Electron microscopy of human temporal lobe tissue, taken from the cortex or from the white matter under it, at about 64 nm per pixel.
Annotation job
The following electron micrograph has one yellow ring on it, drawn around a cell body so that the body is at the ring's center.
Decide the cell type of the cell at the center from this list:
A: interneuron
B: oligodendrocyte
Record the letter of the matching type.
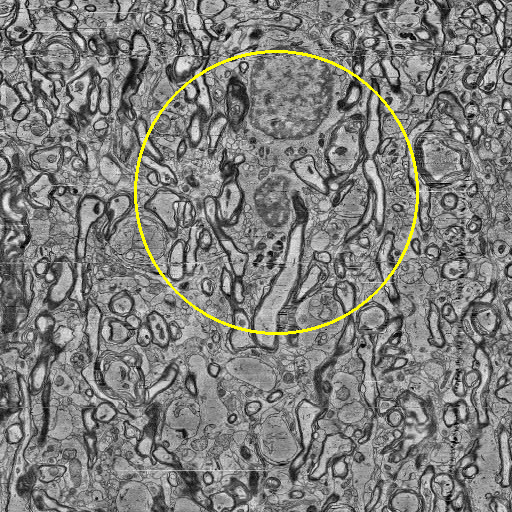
B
